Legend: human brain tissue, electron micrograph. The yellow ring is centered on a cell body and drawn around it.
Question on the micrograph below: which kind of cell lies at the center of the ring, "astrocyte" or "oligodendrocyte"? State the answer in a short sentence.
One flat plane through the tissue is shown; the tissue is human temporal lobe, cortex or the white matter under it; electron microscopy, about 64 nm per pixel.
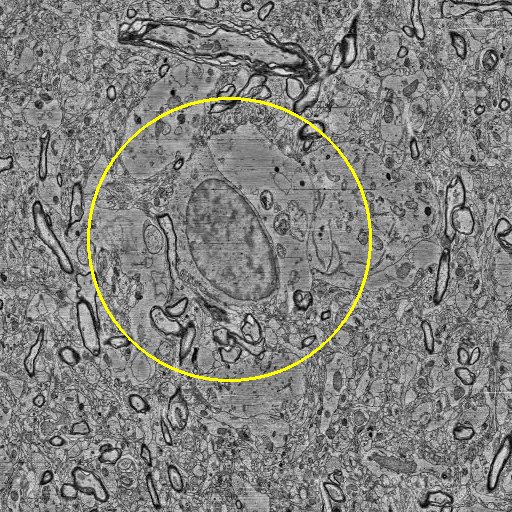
At the center of the ring lies an oligodendrocyte.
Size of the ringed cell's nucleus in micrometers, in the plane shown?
Roughly 8 by 5 micrometres; in this plane, clearly longer than it is wide.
